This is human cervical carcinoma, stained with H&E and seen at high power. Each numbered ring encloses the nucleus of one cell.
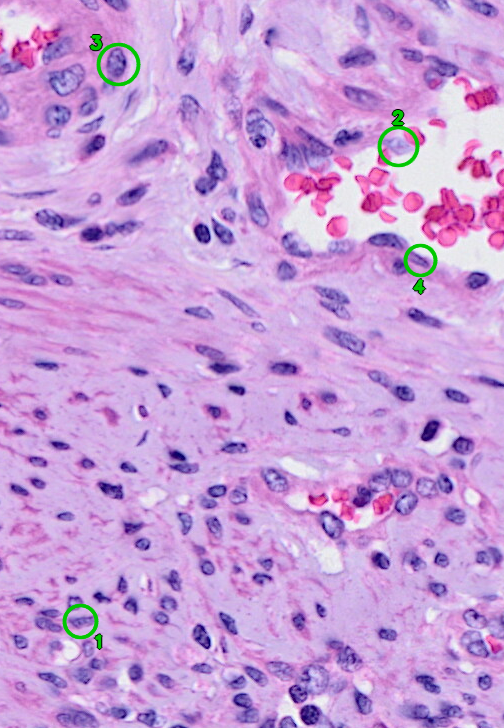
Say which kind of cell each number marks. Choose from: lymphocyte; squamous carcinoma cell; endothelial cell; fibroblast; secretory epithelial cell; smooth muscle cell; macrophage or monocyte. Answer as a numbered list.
1. smooth muscle cell
2. endothelial cell
3. smooth muscle cell
4. endothelial cell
